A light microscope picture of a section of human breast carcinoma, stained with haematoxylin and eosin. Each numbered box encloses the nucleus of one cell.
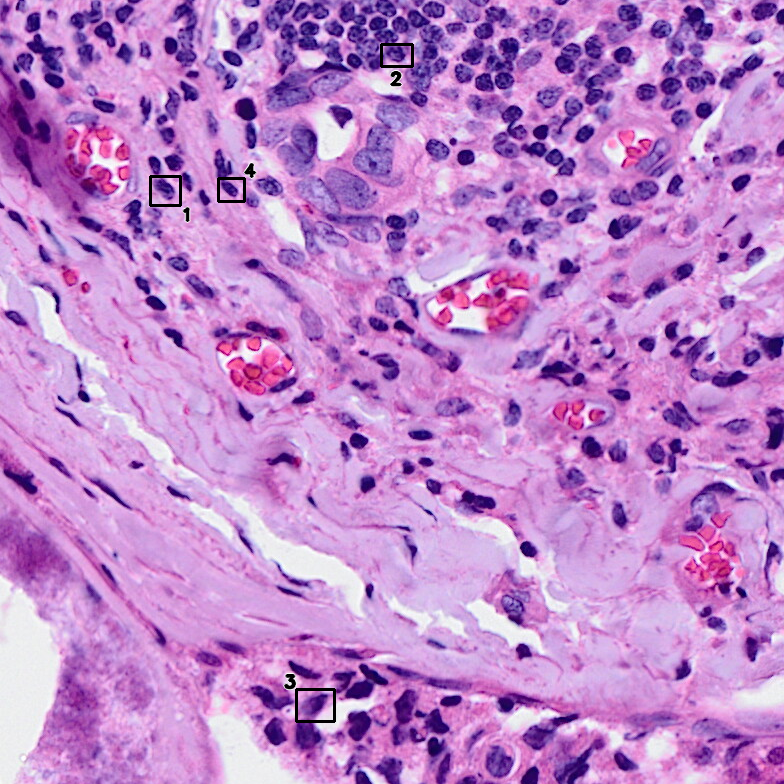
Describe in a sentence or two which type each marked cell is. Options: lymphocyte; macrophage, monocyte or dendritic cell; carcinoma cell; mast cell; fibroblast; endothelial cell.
Cell 1 is a lymphocyte, cell 2 is a lymphocyte, cell 3 is a carcinoma cell and cell 4 is a lymphocyte.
